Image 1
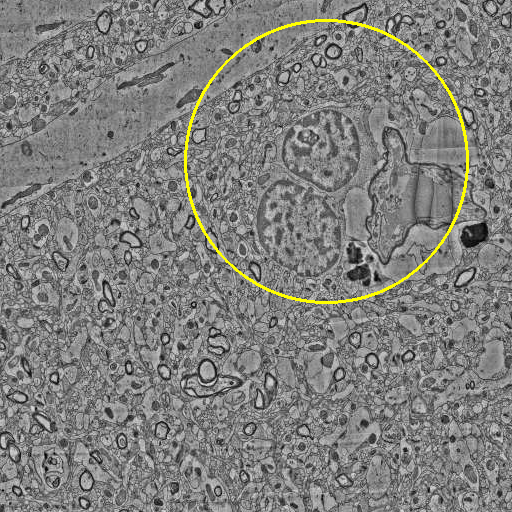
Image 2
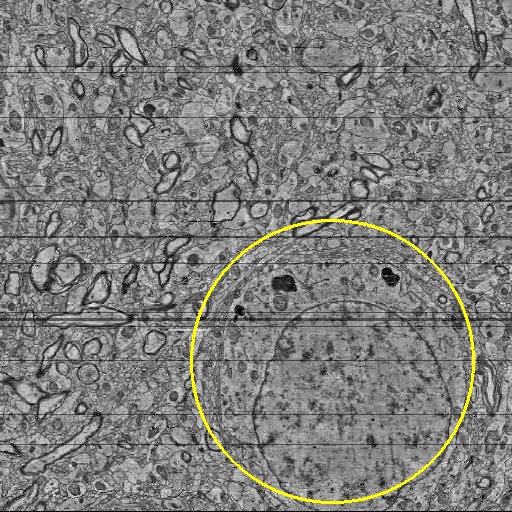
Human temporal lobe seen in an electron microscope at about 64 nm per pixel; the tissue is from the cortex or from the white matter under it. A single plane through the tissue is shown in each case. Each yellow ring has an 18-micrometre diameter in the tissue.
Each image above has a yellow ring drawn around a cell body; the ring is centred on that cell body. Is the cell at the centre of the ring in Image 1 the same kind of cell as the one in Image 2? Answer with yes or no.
no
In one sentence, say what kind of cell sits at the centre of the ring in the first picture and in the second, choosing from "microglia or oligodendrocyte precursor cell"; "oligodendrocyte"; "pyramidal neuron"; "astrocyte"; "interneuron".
The first picture's ringed cell is an oligodendrocyte, while the second picture's is a pyramidal neuron.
